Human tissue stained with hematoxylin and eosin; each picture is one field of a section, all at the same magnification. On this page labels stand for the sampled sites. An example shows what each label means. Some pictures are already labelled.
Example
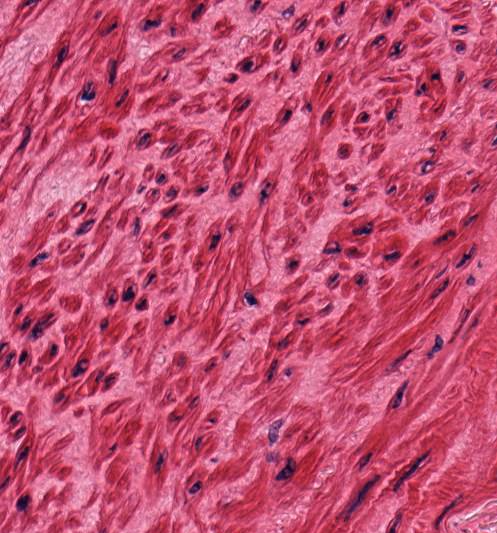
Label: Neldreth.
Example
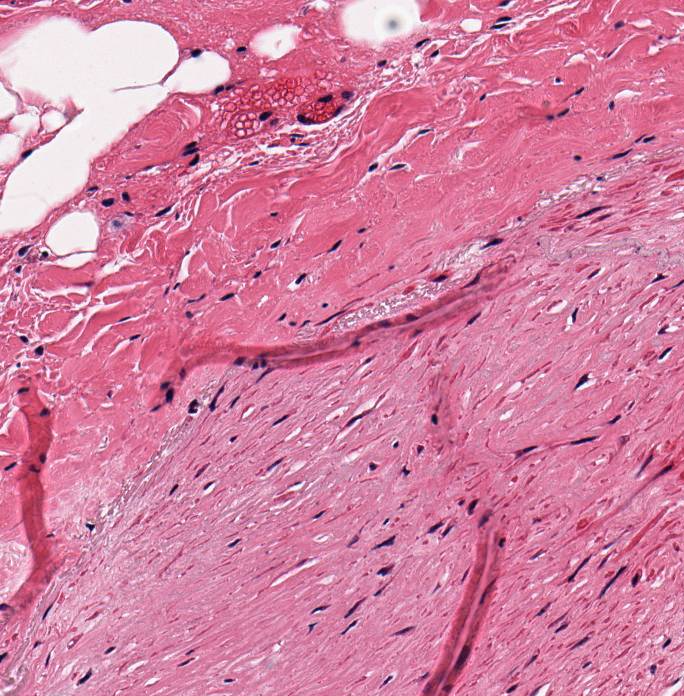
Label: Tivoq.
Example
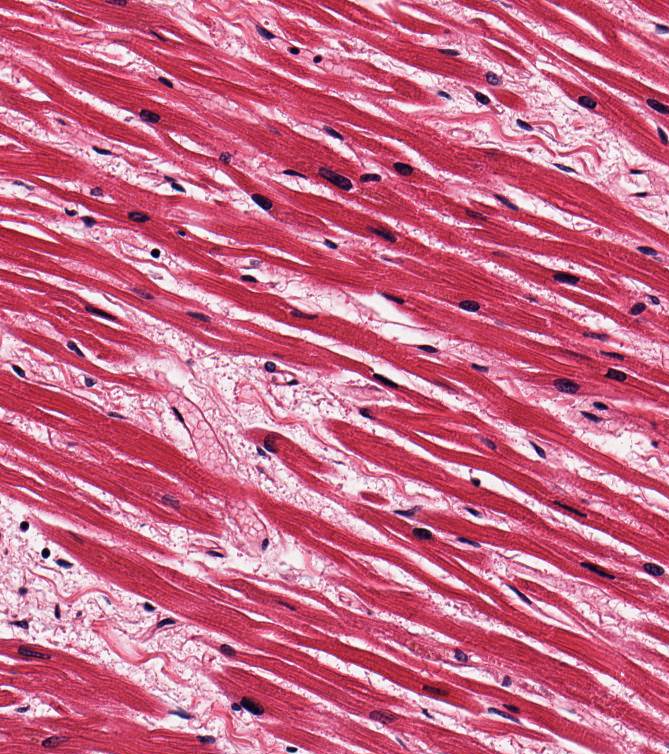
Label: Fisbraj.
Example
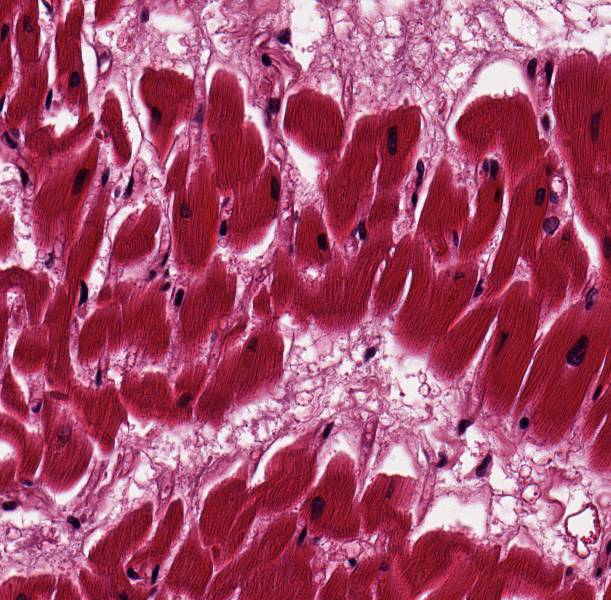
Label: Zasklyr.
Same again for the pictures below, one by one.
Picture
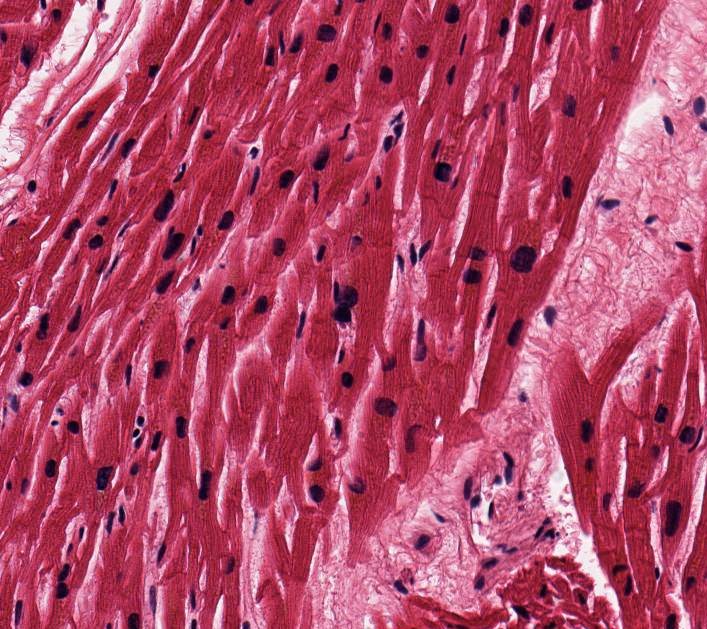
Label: Zasklyr.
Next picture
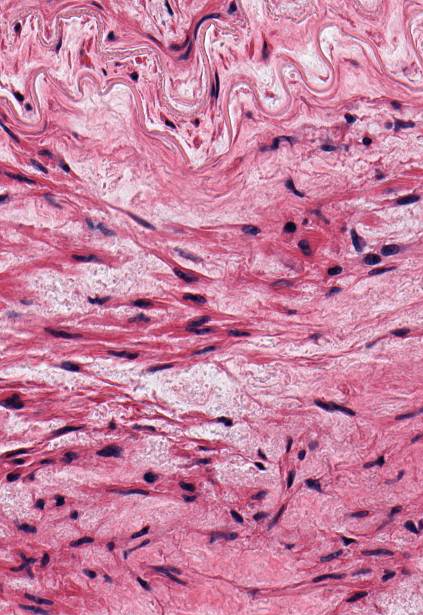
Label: Neldreth.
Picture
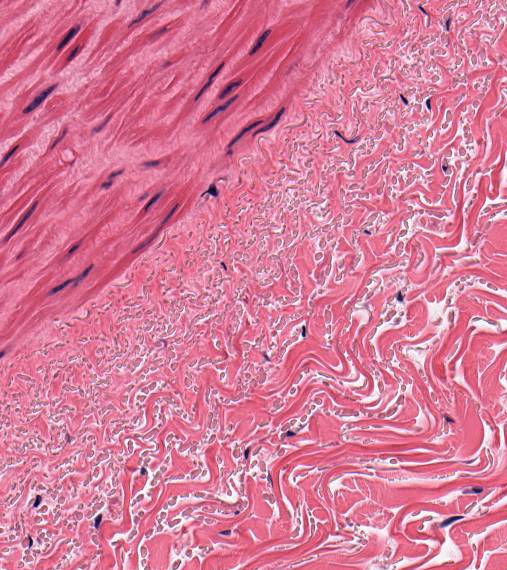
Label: Neldreth.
